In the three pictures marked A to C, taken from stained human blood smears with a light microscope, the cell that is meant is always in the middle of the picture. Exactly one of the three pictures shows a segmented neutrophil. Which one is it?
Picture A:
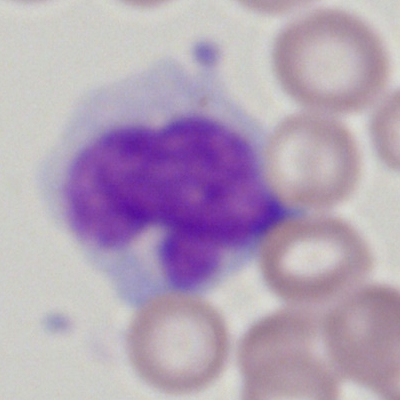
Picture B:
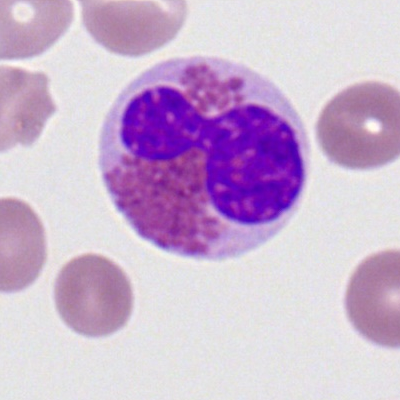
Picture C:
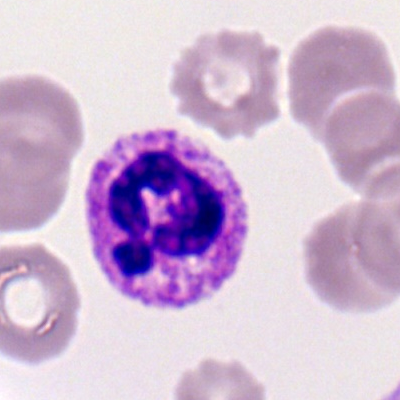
C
